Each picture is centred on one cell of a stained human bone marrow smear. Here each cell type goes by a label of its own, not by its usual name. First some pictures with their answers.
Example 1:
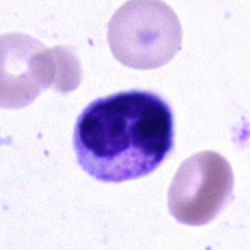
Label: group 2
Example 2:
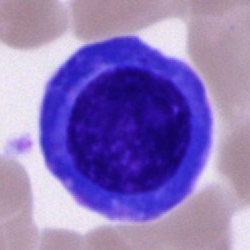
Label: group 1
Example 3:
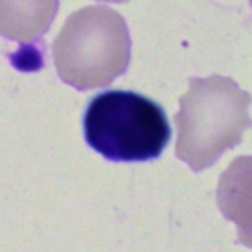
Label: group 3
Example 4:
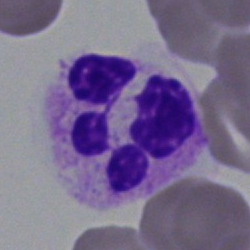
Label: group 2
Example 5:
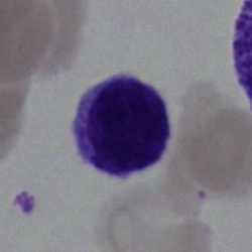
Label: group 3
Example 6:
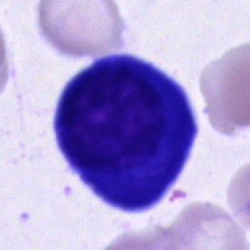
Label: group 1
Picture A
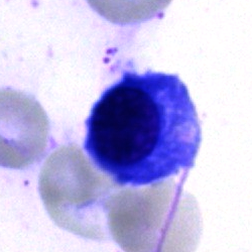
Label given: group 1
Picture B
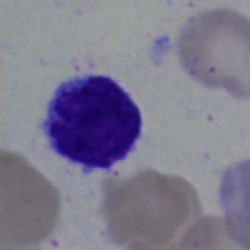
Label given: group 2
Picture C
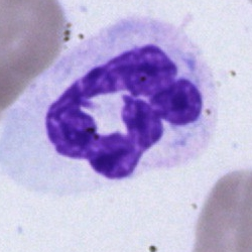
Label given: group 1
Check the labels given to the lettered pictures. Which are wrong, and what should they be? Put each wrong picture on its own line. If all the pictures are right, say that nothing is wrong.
B: not group 2 but group 3
C: not group 1 but group 2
